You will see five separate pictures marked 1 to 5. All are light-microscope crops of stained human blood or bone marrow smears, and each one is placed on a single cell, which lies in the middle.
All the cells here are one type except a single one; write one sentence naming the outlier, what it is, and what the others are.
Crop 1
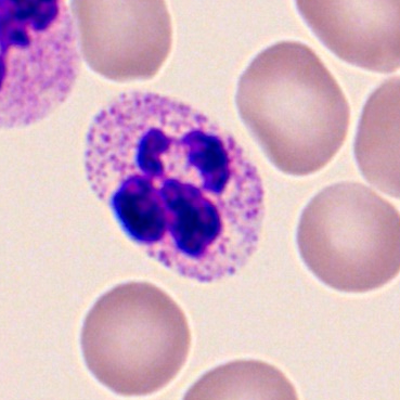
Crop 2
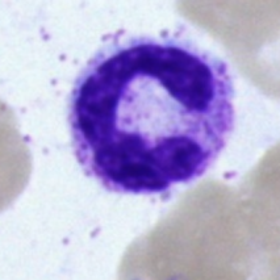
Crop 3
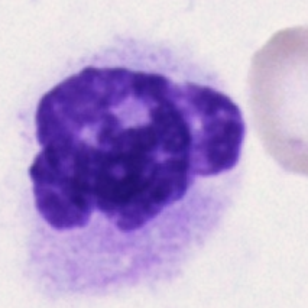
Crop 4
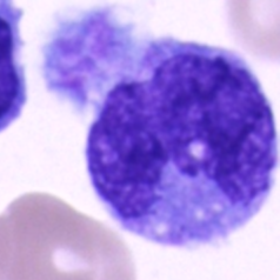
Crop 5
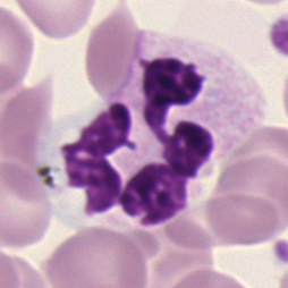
In this set, all crops show segmented neutrophils apart from crop 4, which is a monocyte.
